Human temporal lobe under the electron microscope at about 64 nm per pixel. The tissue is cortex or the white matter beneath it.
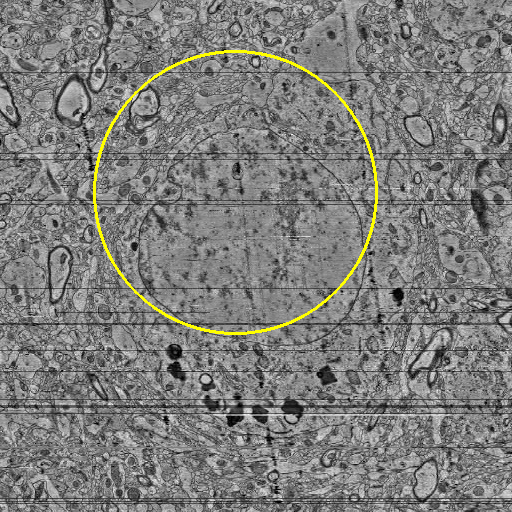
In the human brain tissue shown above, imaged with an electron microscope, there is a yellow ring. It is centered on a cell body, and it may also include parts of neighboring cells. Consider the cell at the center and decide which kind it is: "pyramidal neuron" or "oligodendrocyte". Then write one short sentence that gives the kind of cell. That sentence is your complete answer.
This centered cell body is that of a pyramidal neuron.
